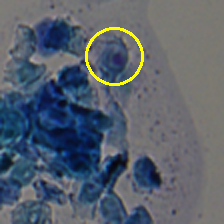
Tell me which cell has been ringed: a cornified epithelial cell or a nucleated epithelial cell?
It is a nucleated epithelial cell.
